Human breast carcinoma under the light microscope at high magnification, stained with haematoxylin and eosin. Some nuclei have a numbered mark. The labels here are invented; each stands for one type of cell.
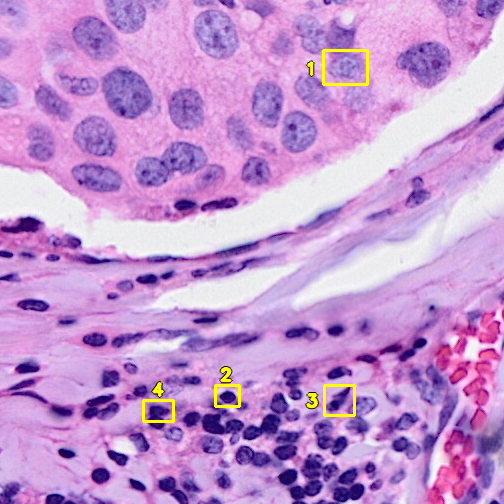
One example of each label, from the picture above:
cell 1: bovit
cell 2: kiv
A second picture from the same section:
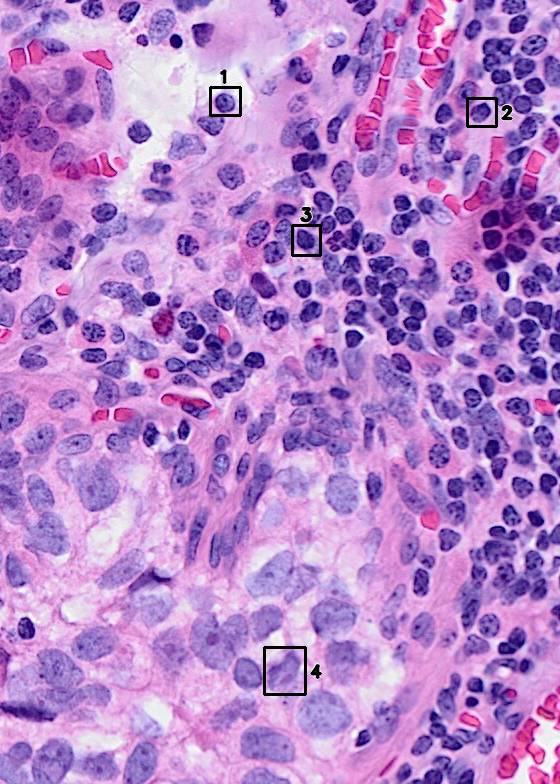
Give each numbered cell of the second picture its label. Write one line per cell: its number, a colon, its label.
1: kiv
2: kiv
3: kiv
4: bovit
